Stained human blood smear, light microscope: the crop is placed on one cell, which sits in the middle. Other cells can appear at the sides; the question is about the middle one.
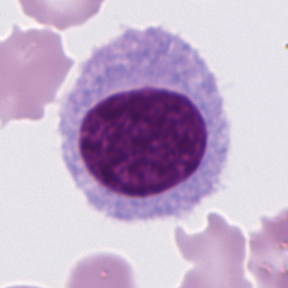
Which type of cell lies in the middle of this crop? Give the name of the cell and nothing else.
hairy cell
